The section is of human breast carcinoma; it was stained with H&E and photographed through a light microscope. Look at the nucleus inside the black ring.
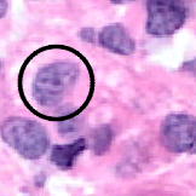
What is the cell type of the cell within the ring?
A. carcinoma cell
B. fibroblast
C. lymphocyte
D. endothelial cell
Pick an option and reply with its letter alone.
A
